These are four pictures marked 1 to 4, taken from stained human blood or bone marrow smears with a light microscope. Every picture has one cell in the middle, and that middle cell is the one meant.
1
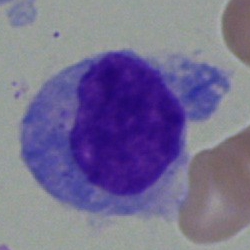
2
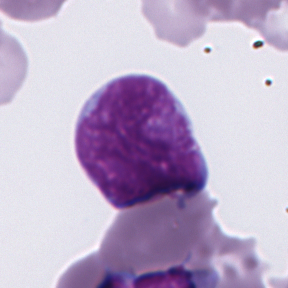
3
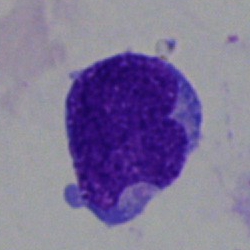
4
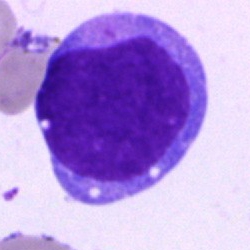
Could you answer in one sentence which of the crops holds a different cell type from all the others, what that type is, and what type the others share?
Where the others show blasts, crop 1 shows a monocyte.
